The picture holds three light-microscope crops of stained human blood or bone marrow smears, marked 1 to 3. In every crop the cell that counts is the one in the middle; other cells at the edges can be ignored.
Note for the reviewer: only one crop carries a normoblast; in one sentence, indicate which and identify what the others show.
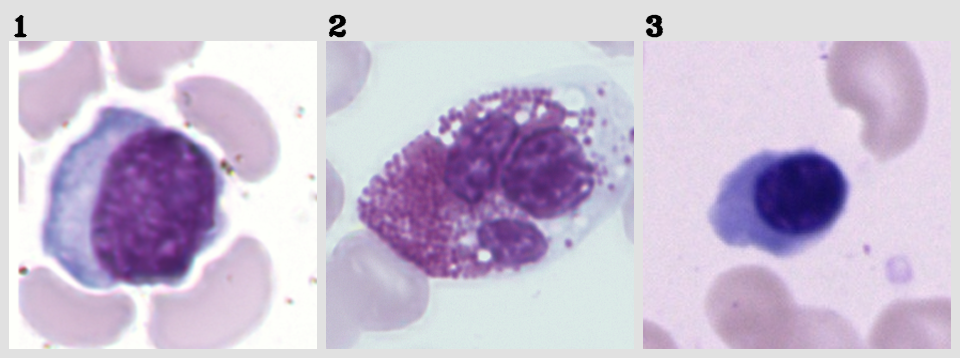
Crop 3 is classified as a normoblast, whereas crop 1 is a plasma cell and crop 2 is an eosinophil.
